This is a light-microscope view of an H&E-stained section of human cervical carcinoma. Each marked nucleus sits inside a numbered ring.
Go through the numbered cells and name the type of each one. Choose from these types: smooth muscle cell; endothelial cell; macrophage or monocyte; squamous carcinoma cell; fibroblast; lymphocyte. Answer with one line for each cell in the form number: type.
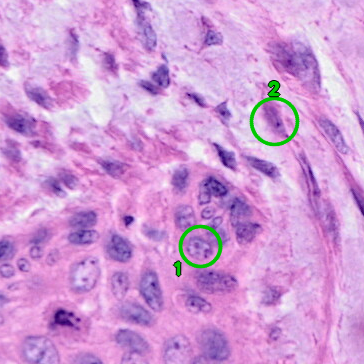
1: squamous carcinoma cell
2: fibroblast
